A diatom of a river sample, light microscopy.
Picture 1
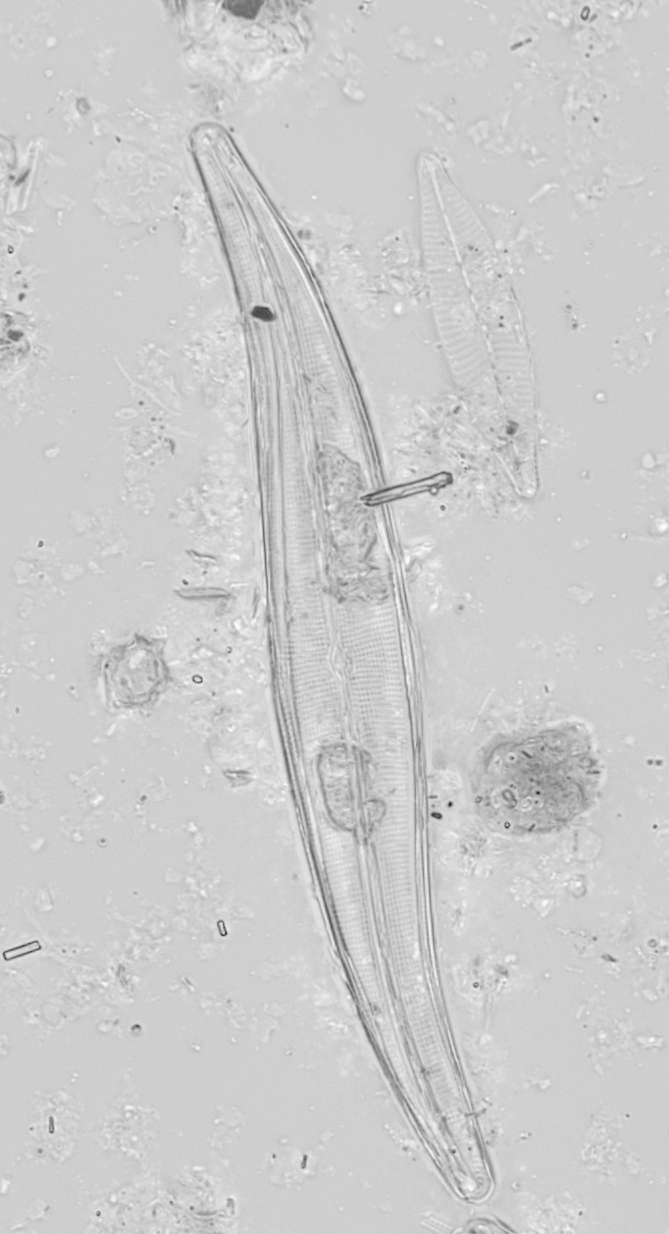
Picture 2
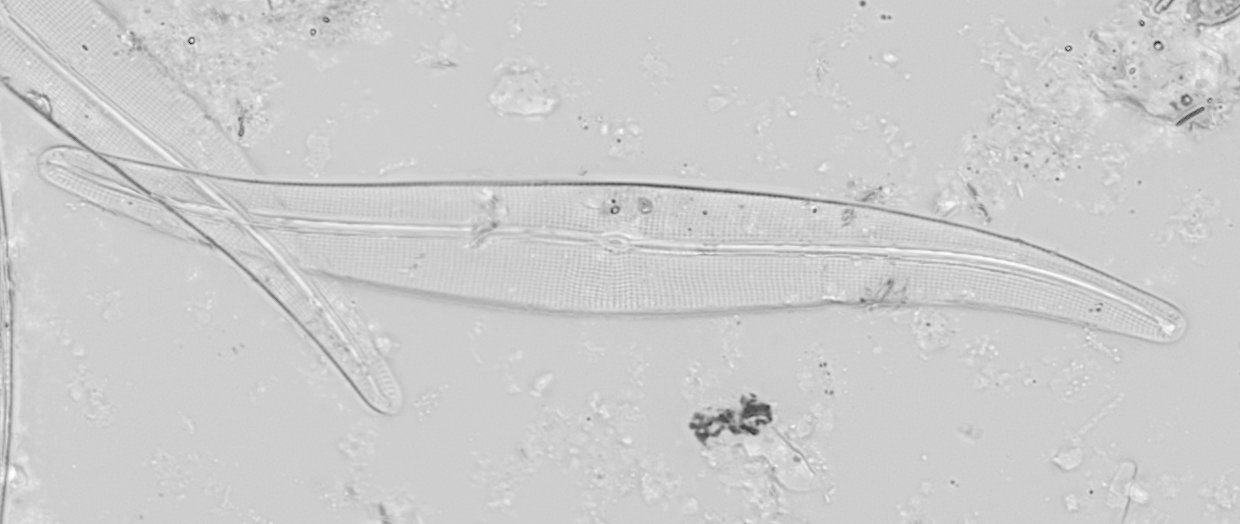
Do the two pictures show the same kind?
Yes, both are Gyrosigma.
